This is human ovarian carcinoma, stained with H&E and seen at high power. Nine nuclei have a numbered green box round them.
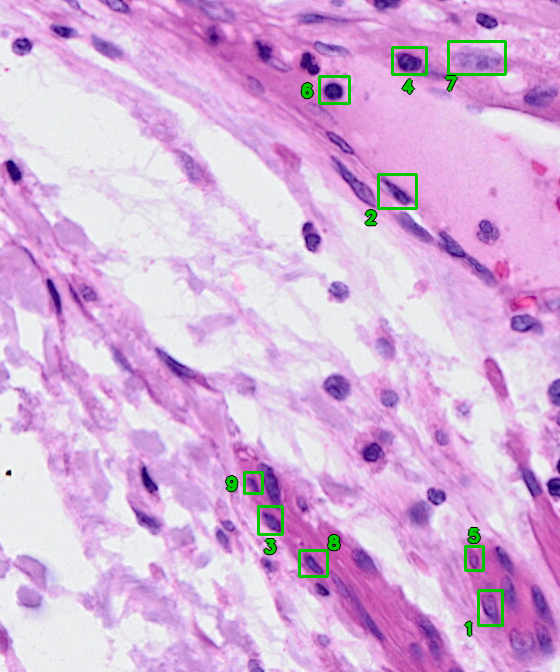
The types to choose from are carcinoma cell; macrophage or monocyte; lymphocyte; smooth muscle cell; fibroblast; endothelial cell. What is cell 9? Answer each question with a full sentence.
The correct answer for cell 9 is a smooth muscle cell.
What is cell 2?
The cell tagged with 2 in this tissue section is an endothelial cell.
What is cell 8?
The marked cell bearing number 8 is a smooth muscle cell.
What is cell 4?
The nucleus labeled 4 belongs to a lymphocyte.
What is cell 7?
What the number 7 marks in this field is a fibroblast.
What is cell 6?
The numbered cell 6 in this field is a lymphocyte.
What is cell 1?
Corresponding to a smooth muscle cell is the cell labelled 1.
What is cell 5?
The marked cell with the number 5 is recognised as a smooth muscle cell.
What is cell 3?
Here the cell numbered 3 is a smooth muscle cell.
